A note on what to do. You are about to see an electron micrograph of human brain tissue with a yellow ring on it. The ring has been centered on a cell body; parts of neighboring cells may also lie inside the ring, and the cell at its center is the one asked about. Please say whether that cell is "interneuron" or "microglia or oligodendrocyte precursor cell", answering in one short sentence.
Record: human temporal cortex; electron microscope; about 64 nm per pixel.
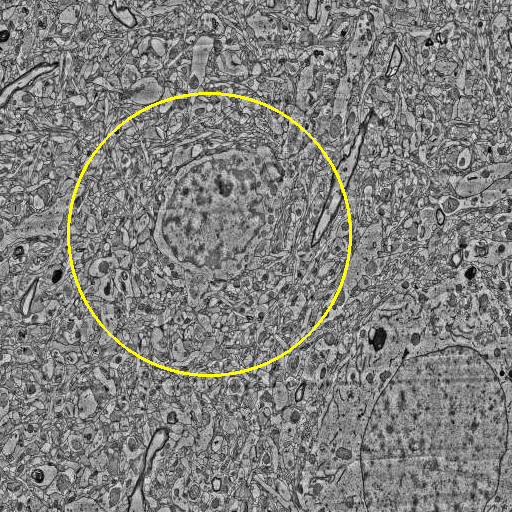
The yellow ring sits on an interneuron.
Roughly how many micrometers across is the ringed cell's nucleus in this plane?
The nucleus appears roughly 8 by 6 micrometres in this plane.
